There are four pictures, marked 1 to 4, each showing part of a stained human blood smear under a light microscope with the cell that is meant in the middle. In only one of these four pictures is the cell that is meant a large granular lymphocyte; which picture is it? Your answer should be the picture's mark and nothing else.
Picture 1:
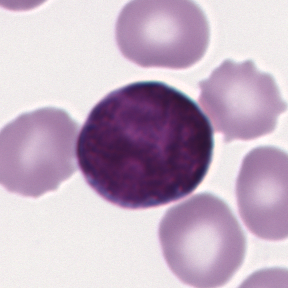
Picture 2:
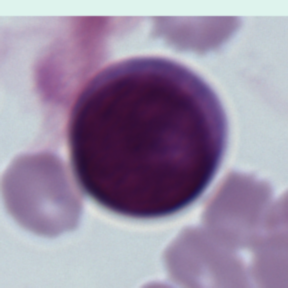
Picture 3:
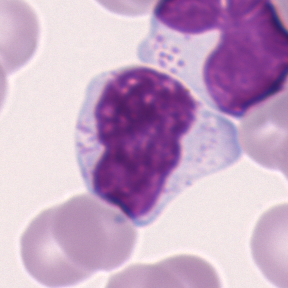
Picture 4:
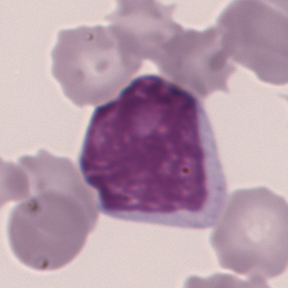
3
